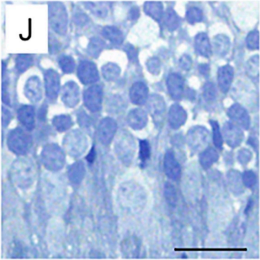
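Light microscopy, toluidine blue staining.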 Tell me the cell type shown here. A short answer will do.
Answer: Photoreceptor cells.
